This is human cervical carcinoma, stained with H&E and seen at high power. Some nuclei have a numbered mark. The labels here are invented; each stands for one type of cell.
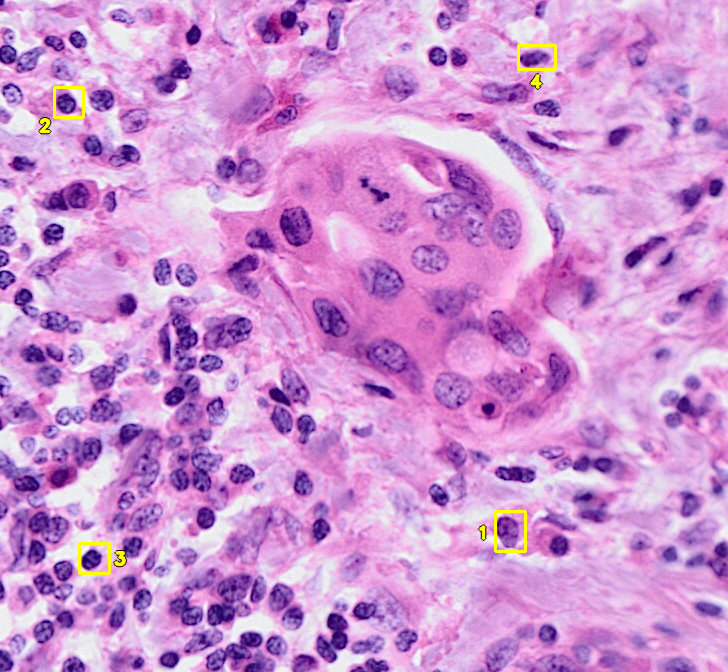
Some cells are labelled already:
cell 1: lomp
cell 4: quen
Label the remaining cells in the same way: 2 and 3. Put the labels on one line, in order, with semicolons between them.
quen; quen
